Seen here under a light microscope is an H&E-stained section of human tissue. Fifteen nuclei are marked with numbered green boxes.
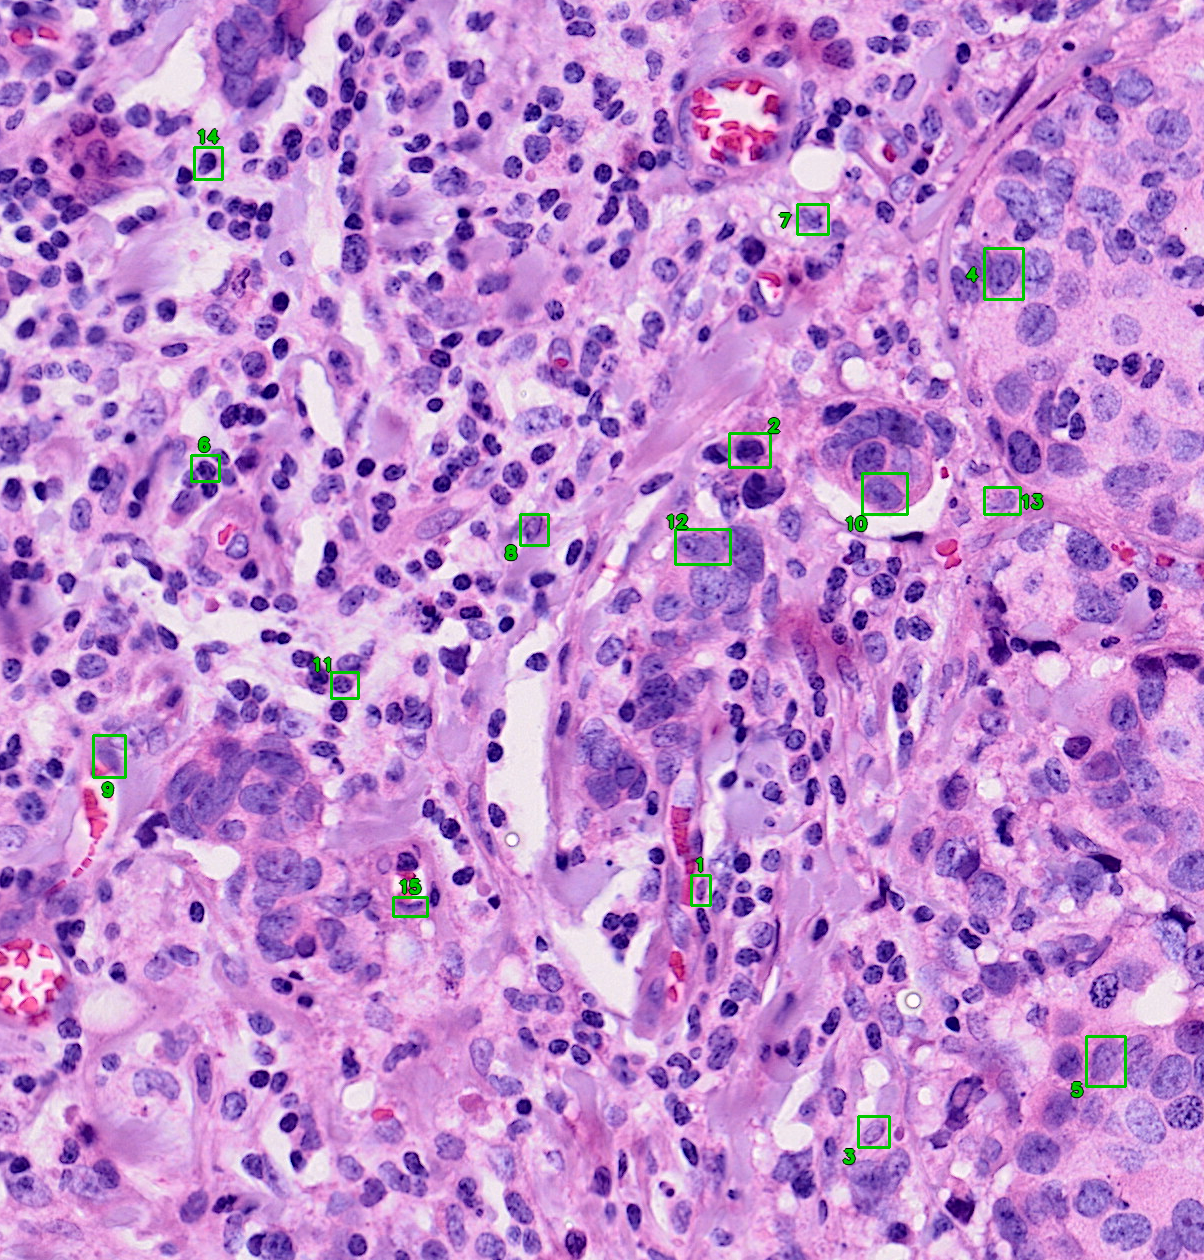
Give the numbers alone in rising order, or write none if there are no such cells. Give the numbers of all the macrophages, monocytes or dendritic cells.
3, 7, 8, 13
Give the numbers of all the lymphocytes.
6, 11, 14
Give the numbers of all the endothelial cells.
1, 9, 15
